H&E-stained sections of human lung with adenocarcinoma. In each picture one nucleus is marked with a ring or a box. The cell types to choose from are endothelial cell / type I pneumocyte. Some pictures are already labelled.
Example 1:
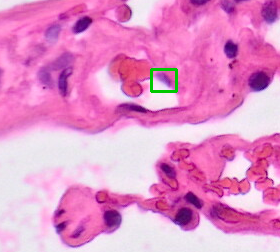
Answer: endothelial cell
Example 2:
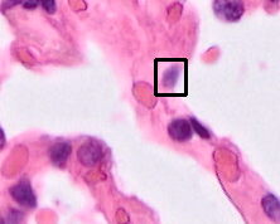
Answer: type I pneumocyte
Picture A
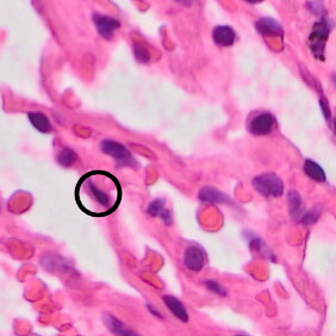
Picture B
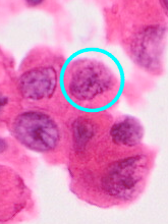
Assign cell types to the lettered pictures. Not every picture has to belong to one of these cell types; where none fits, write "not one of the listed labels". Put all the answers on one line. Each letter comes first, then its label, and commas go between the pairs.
A endothelial cell, B not one of the listed labels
